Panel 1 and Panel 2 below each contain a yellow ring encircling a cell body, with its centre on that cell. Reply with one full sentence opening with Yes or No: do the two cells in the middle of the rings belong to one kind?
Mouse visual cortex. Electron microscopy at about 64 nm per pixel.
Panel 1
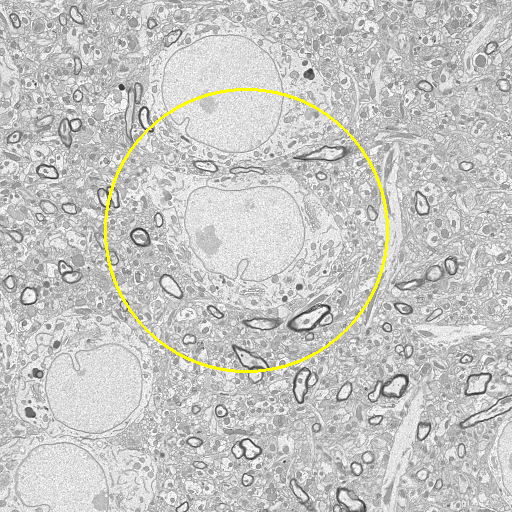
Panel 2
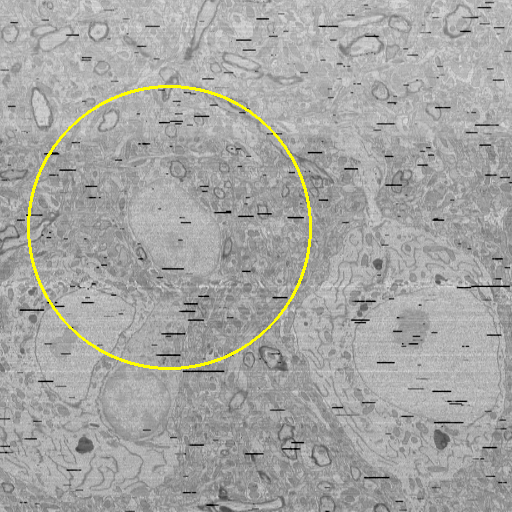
No, the cells at the middle of the Panel 1 ring and the Panel 2 ring are of two kinds.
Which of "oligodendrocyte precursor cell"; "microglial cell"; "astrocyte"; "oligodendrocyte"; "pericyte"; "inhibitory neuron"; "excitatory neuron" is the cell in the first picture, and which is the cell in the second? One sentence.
The two differ: the first cell is an excitatory neuron and the second is an astrocyte.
